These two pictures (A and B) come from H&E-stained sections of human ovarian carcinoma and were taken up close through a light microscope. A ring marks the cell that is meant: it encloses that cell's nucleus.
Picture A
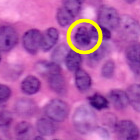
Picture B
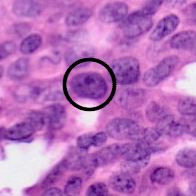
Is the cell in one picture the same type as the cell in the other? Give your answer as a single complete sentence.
Yes; the cells in both pictures are carcinoma cells.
